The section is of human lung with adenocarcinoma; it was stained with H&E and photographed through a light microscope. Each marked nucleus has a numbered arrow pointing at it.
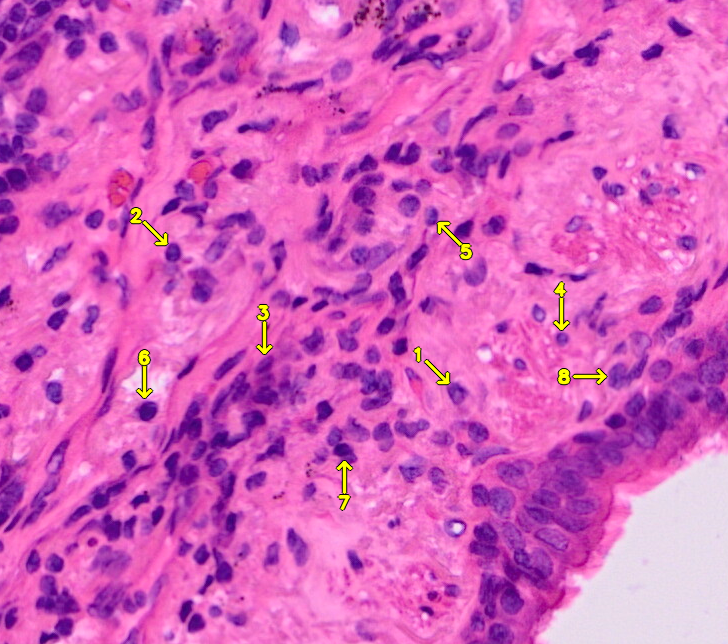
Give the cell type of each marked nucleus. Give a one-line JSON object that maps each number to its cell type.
{"1": "plasma cell", "2": "lymphocyte", "3": "plasma cell", "4": "smooth muscle cell or pericyte", "5": "lymphocyte", "6": "lymphocyte", "7": "lymphocyte", "8": "lymphocyte"}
